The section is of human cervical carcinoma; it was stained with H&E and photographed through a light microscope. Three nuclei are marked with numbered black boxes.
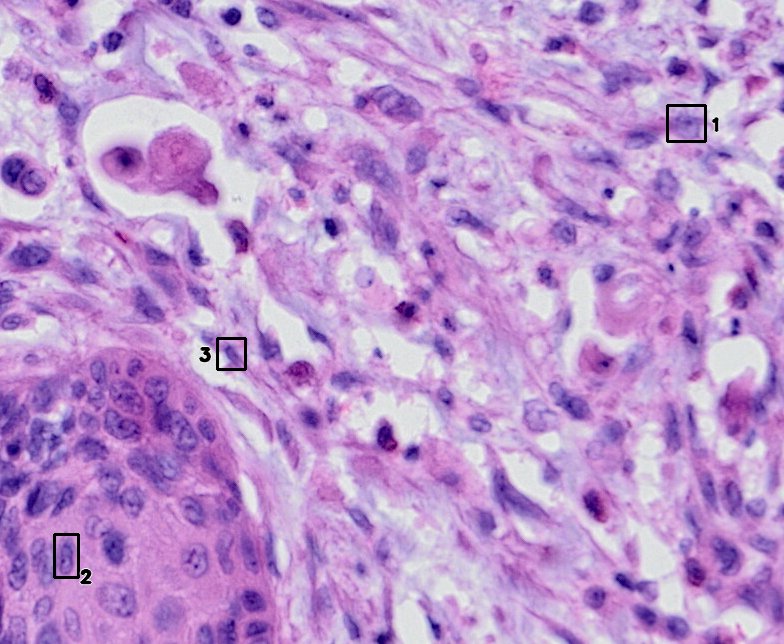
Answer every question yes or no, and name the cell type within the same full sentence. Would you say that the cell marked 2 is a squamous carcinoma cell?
Yes, on this slide, the cell with number 2 is a squamous carcinoma cell.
